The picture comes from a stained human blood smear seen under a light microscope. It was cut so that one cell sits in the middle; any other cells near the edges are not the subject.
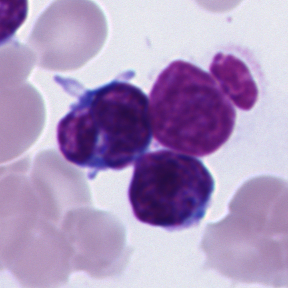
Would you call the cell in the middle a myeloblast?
yes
